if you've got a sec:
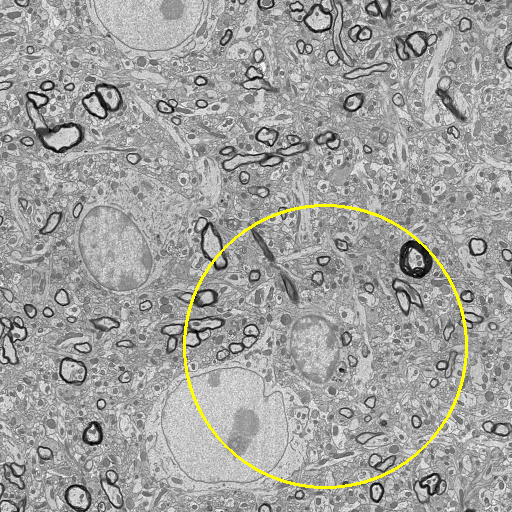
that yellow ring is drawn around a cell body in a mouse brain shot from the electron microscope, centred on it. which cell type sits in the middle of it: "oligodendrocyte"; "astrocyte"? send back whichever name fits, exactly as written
oligodendrocyte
